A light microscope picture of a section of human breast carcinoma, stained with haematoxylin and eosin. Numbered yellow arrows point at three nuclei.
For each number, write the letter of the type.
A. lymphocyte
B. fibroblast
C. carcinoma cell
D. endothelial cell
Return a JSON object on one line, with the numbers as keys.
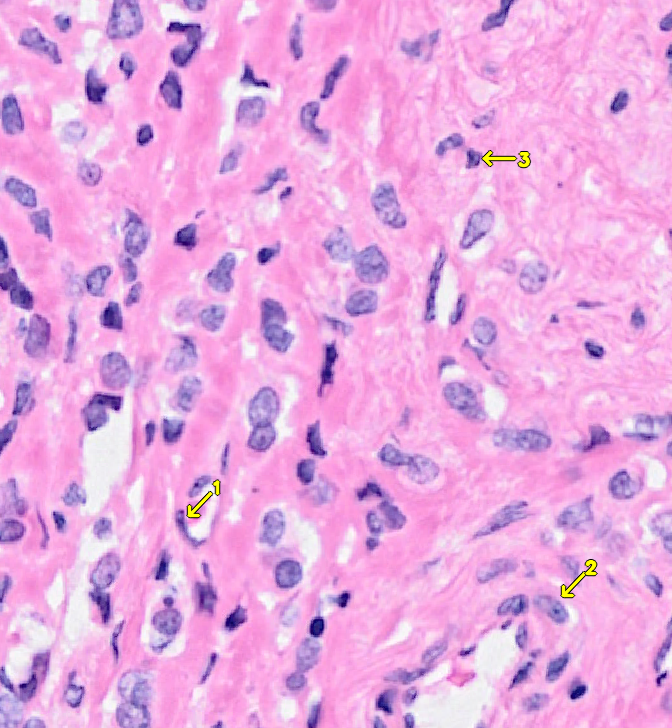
{"1": "D", "2": "D", "3": "A"}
